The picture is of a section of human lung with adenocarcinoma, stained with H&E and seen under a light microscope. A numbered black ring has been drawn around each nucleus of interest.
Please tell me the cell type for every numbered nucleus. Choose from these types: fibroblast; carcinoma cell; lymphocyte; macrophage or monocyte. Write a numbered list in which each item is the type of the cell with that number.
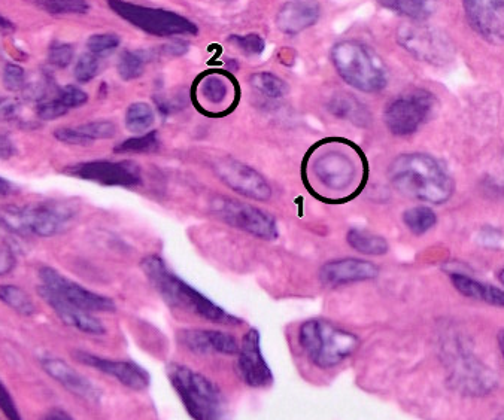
1. macrophage or monocyte
2. lymphocyte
